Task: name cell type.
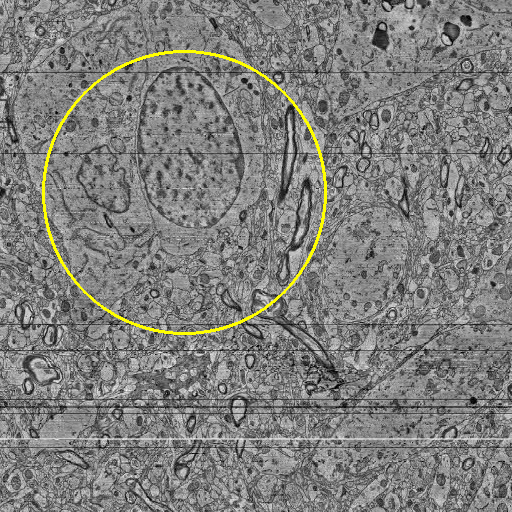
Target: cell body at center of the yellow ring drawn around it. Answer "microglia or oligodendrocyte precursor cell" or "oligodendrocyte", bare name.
microglia or oligodendrocyte precursor cell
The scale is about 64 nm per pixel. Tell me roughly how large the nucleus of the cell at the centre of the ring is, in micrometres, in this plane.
Roughly 11 micrometres long and 7 micrometres wide; in this plane the nucleus is clearly longer than it is wide.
